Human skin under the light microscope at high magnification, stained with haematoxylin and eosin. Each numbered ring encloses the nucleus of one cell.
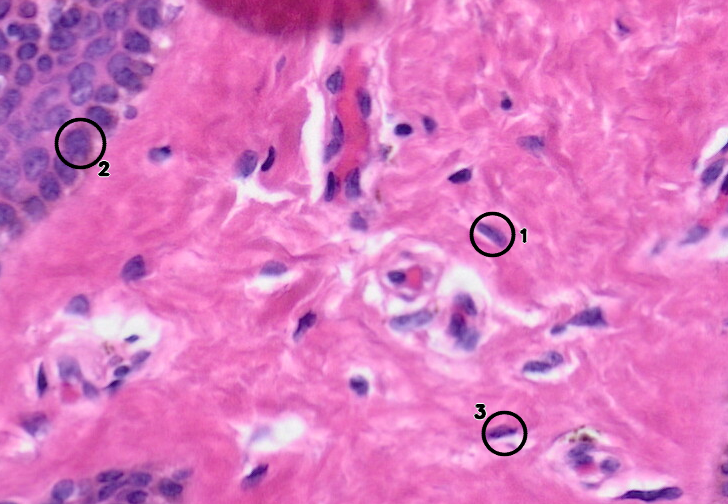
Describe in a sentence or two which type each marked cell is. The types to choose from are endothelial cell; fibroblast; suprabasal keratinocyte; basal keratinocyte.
Cells 1 and 3 are fibroblasts. Cell 2 is a basal keratinocyte.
